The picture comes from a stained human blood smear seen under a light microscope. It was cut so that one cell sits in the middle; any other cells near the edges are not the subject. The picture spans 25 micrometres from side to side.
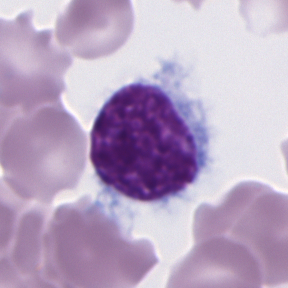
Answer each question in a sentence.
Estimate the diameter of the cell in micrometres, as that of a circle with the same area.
The cell is about 11 micrometres across.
